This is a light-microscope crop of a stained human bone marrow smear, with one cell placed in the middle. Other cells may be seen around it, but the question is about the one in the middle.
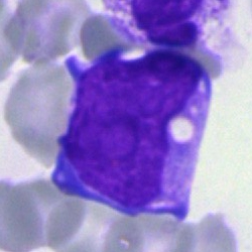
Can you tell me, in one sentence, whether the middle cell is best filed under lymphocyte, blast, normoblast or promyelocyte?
Framed in the middle of the crop is a blast.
